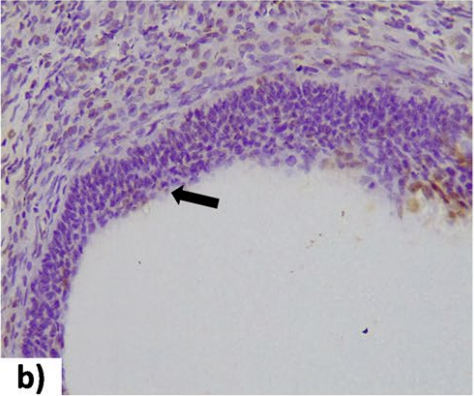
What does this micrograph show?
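A curved band of many layers of small, tightly packed cells lines a large pale cavity, with a thinner shell of spindle-shaped cells outside it. The inner cells have round to oval purple nuclei and little visible cytoplasm, stacked in a stratified wall. The arrangement is that of the granulosa layer of an antral follicle surrounded by its theca.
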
